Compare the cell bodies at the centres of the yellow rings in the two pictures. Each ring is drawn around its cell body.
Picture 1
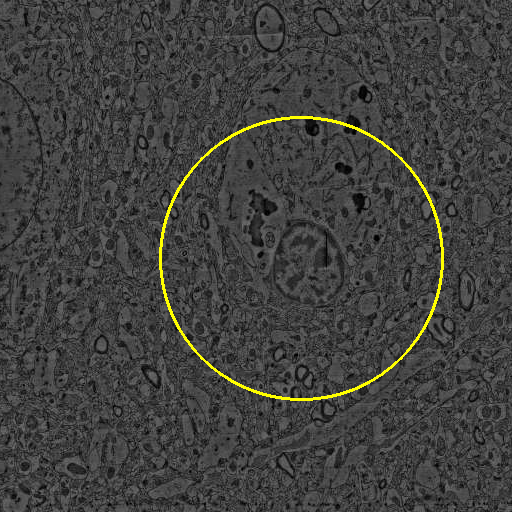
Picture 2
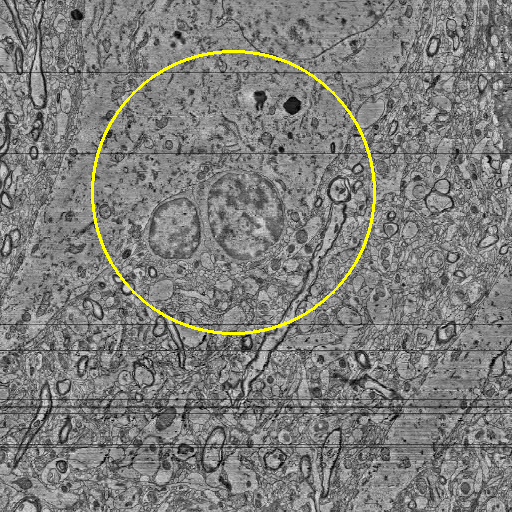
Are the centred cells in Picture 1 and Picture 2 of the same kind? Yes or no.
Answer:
yes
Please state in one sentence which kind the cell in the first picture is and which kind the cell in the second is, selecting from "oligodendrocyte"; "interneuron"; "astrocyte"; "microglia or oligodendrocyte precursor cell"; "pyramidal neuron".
Both pictures show an oligodendrocyte at the centre of the ring.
